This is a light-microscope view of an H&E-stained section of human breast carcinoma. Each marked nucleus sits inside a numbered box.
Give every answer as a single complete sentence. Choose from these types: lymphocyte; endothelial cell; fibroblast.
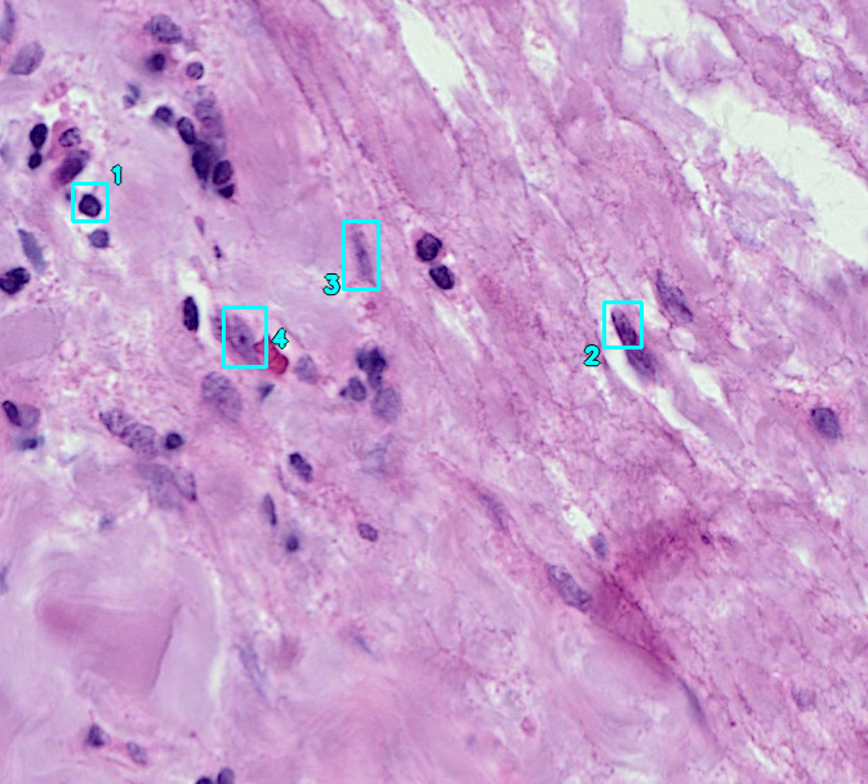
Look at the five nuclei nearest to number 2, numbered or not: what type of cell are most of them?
Around number 2, most of the five nearest nuclei are those of fibroblasts.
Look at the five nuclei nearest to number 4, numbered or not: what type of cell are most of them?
The majority of the five nuclei closest to number 4 belong to fibroblasts.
